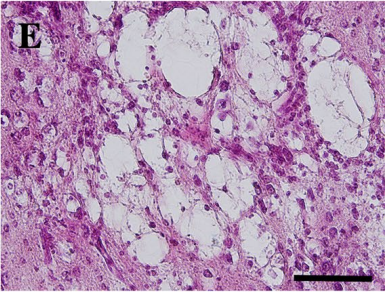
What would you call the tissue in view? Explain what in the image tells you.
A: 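Many large empty, rounded clear spaces. Thin strands of pink tissue and nuclei lie between the clear spaces.
Answer: adipose tissue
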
